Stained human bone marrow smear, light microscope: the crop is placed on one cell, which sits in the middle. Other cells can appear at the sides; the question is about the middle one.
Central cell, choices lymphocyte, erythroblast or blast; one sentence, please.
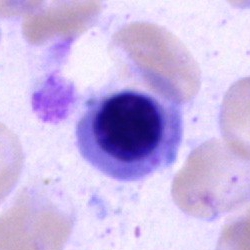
Within this crop, an erythroblast occupies the central position.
